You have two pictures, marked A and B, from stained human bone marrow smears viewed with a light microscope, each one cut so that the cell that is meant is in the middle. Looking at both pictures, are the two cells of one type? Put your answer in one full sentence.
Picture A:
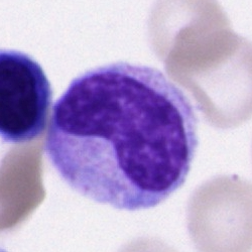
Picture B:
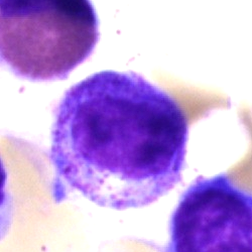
No, picture A shows a metamyelocyte and picture B shows a myelocyte.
